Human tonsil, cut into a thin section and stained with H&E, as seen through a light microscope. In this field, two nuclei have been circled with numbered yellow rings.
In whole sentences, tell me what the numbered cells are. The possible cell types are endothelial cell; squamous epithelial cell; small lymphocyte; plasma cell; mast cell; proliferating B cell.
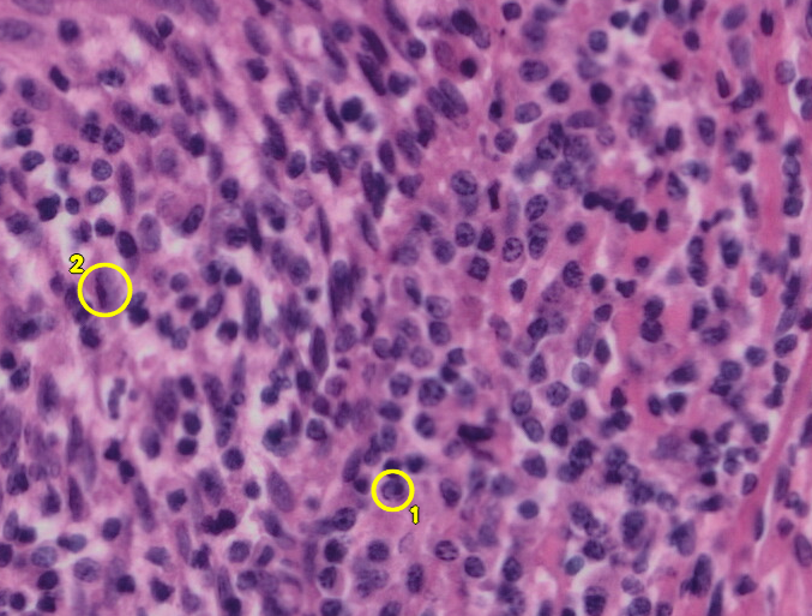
Cell 1 is a plasma cell. Cell 2 is a squamous epithelial cell.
